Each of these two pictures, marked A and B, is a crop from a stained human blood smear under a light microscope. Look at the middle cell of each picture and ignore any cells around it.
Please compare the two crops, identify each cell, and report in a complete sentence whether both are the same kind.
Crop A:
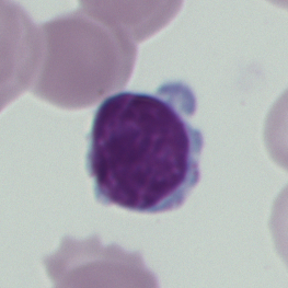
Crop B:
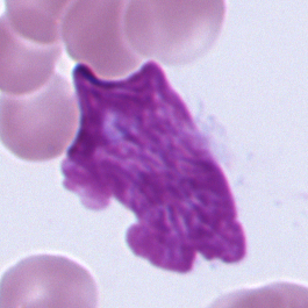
No, enter a typical lymphocyte for crop A and a smudge cell for crop B.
